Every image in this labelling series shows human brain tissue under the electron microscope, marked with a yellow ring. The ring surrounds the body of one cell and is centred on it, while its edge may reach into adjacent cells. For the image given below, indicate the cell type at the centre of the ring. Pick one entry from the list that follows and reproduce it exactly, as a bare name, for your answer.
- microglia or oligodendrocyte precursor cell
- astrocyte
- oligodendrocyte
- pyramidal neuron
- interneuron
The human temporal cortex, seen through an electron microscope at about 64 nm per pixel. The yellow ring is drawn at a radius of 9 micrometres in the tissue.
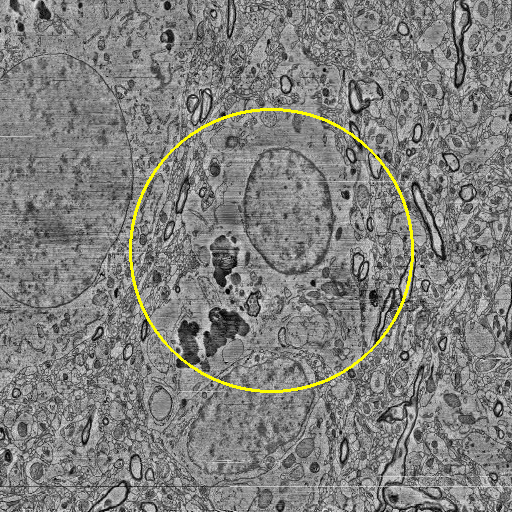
astrocyte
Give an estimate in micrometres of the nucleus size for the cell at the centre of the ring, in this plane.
About 8 micrometres by about 6 micrometres in this plane.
